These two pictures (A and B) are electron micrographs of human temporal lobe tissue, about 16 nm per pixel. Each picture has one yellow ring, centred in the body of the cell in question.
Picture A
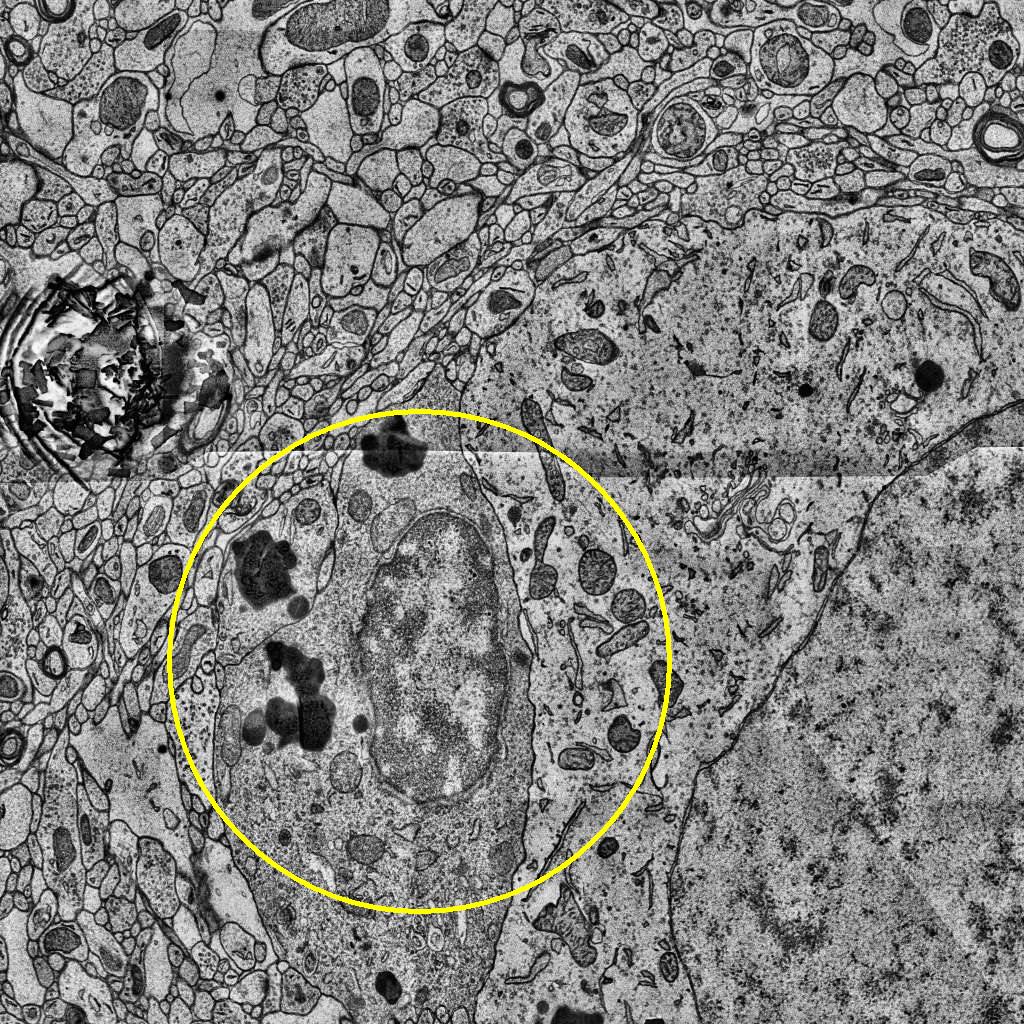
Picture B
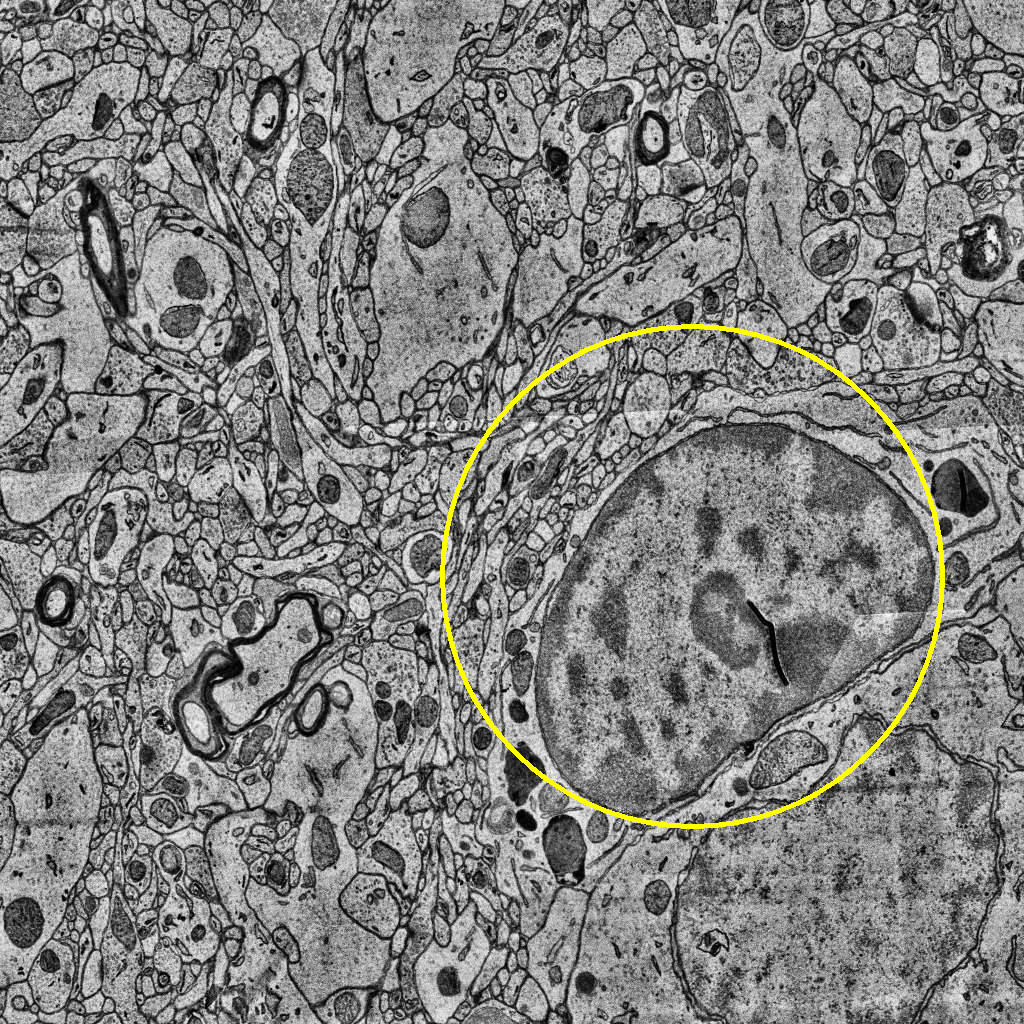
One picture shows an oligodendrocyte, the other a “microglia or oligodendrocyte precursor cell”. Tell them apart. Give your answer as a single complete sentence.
Picture A is of an oligodendrocyte, and picture B is of a “microglia or oligodendrocyte precursor cell”.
